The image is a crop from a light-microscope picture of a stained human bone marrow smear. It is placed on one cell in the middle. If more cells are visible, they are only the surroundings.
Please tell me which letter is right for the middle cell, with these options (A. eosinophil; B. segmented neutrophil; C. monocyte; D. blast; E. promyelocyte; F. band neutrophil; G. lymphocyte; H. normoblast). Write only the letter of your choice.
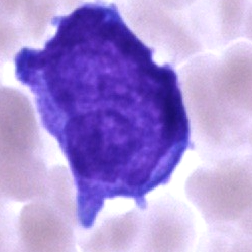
D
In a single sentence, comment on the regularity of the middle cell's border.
The cell is outlined unevenly, the border being ragged or extended into projections.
